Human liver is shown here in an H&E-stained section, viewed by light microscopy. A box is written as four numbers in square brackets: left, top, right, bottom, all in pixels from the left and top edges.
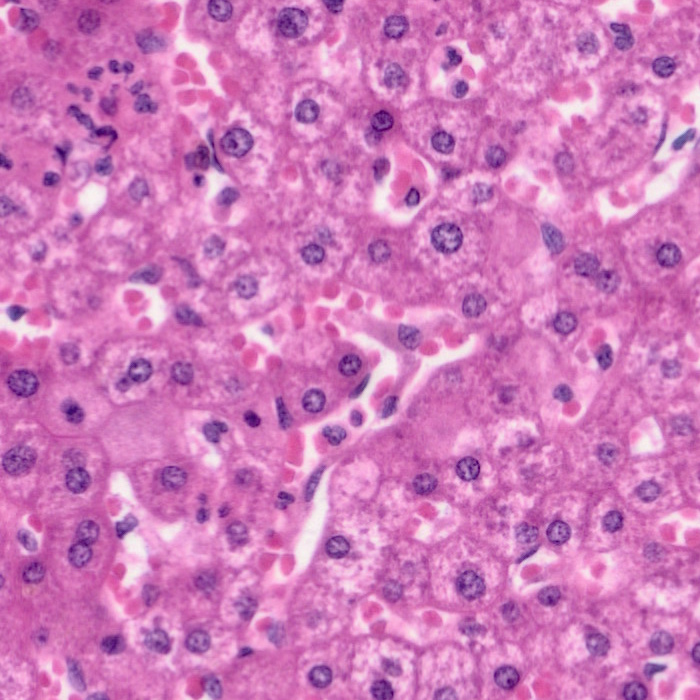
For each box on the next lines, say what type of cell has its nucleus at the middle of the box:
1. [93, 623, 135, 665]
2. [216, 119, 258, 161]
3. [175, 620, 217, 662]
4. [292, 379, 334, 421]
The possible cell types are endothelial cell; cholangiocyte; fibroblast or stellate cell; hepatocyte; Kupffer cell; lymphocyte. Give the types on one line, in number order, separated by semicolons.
fibroblast or stellate cell; hepatocyte; hepatocyte; hepatocyte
